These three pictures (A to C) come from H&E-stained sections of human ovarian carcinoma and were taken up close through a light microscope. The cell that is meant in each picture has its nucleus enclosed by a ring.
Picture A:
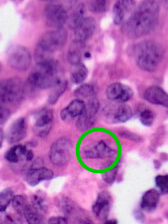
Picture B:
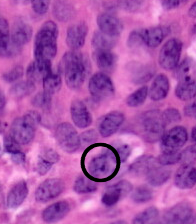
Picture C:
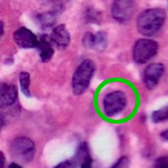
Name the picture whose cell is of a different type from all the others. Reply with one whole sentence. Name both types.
Unlike the rest, which show “macrophages or monocytes”, picture A shows an endothelial cell.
